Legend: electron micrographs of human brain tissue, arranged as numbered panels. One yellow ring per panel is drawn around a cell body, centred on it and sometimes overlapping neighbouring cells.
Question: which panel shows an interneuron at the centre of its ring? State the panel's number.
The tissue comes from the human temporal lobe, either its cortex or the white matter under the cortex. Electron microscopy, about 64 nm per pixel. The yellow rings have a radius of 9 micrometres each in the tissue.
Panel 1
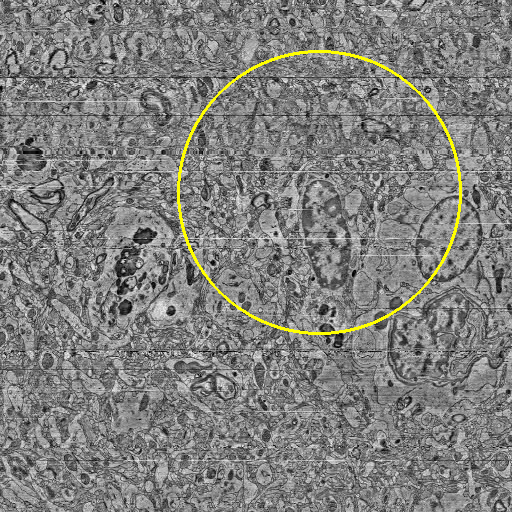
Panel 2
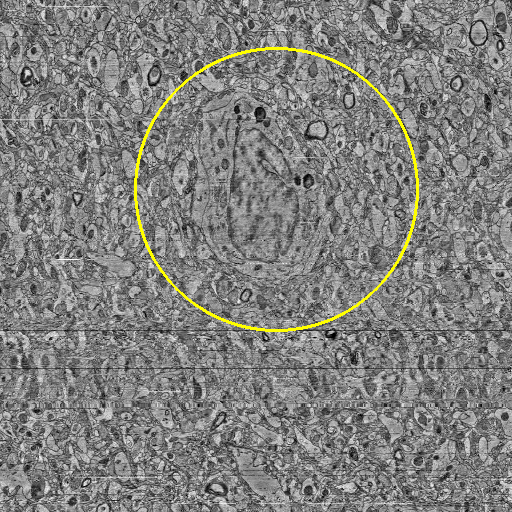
2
